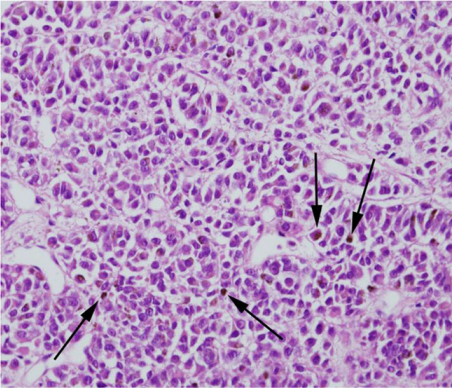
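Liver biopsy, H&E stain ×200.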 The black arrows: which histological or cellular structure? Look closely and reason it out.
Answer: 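Small brown-black granules lie at the tips of the black arrows. The granules sit among purple-stained tumour cells.
Answer: melanin pigments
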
